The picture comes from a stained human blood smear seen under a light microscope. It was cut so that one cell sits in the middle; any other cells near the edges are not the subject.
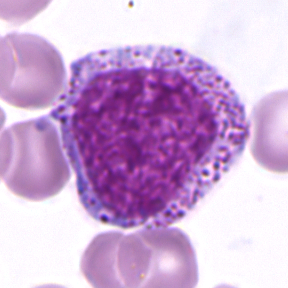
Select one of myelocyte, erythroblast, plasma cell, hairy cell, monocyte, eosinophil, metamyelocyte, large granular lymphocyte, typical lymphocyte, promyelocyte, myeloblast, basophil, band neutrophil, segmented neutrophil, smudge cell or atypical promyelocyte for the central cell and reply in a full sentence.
The central cell shown in this smear crop is a promyelocyte.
